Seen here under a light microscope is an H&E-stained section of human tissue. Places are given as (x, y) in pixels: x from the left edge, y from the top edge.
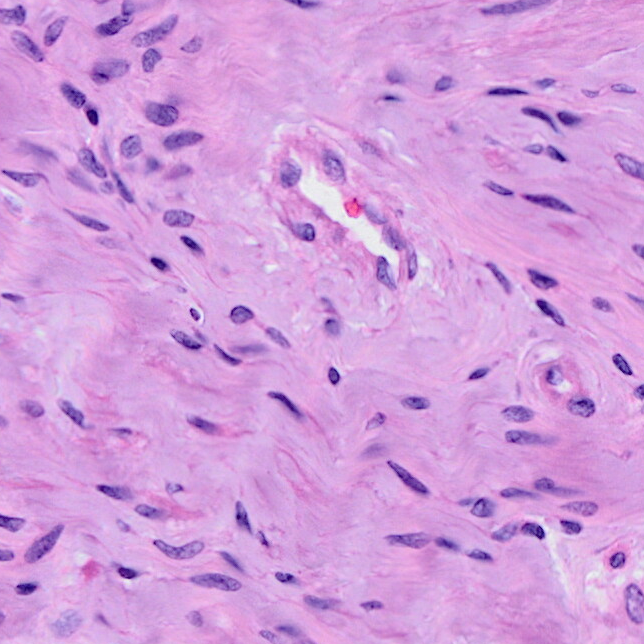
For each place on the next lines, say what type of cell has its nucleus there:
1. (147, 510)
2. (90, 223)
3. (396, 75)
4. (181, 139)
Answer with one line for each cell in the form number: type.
1: smooth muscle cell
2: fibroblast
3: fibroblast
4: fibroblast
